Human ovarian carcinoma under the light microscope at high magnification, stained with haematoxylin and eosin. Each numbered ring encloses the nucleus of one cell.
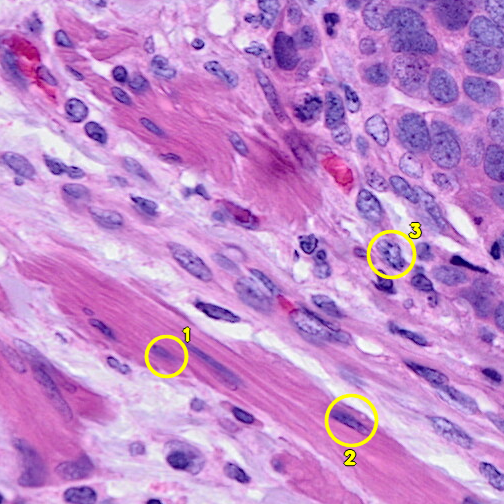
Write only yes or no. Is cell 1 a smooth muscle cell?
yes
